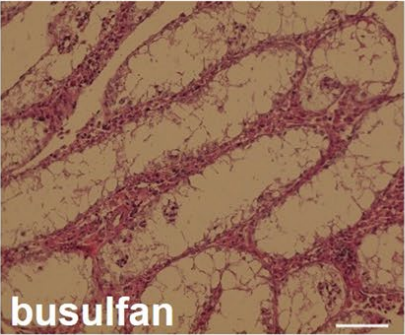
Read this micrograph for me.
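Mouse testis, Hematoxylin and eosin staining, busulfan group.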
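Seminiferous tubules here are elongated and irregular, their interiors mostly pale and filled with a foamy, vacuolated meshwork rather than layers of cells. Only a thin rim of scattered cells with dark nuclei lines each tubule wall, and the many-layered crowding of dark nuclei seen in normal tubules is missing. The interstitial tissue between tubules appears relatively broad and pink with scattered nuclei.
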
